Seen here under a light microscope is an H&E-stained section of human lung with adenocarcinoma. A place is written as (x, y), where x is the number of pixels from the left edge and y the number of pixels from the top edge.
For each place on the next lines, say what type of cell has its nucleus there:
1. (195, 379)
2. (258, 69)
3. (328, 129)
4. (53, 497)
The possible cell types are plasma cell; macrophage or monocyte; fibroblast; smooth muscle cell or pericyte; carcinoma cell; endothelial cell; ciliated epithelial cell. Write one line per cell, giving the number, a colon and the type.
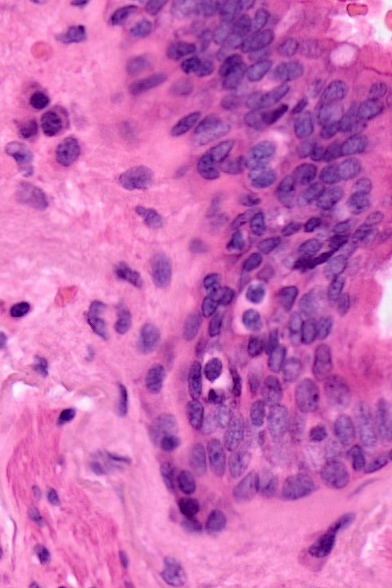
1: ciliated epithelial cell
2: ciliated epithelial cell
3: ciliated epithelial cell
4: smooth muscle cell or pericyte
